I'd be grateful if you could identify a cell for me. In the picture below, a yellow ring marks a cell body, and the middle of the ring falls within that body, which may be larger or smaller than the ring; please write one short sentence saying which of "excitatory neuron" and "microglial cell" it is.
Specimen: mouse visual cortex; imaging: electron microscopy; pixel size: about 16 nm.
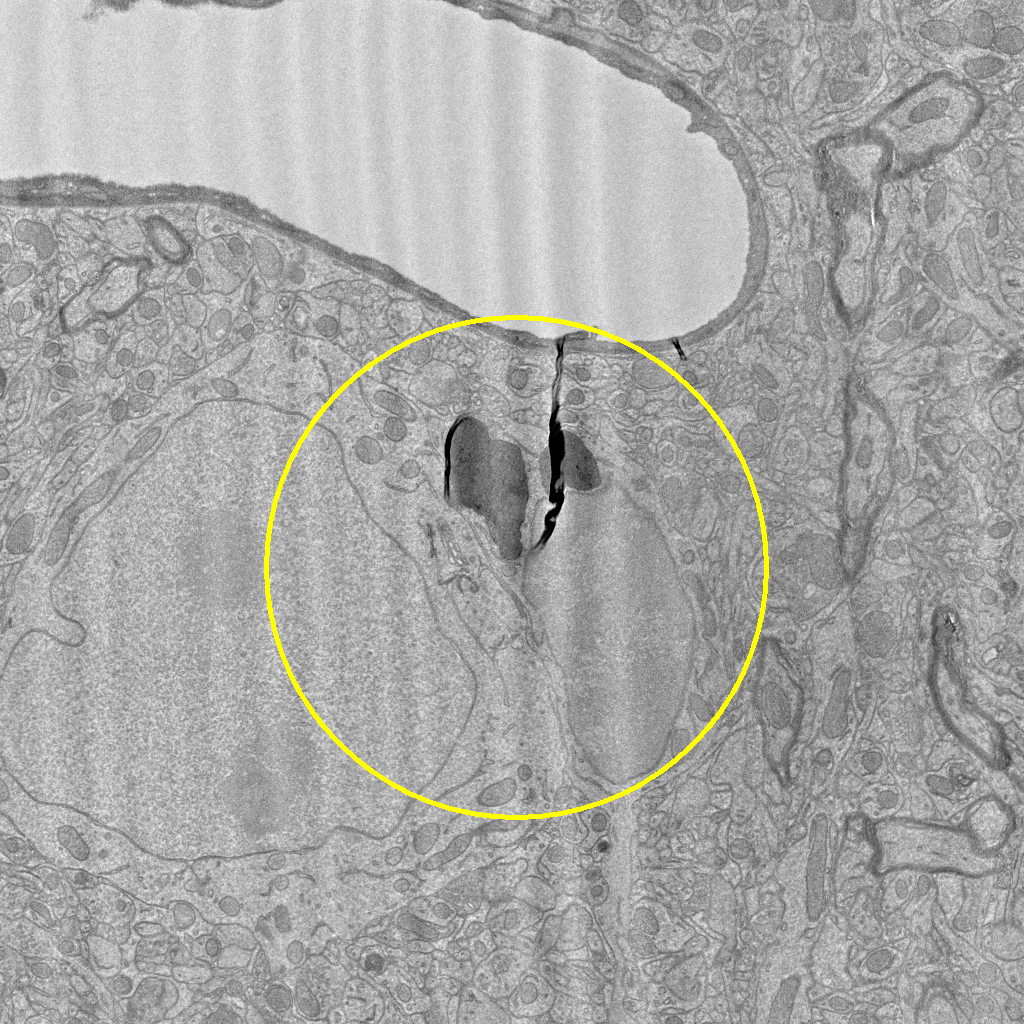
The cell under the ring's centre is a microglial cell.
